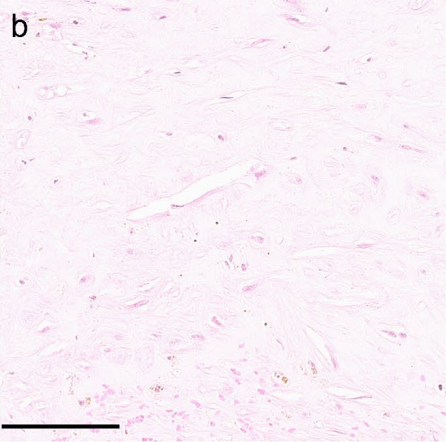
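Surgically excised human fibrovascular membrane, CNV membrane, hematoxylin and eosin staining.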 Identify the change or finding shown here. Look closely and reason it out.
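Pale pink fibrous matrix fills most of the field. Few, widely spaced nuclei.
Answer: a fibrotic area with low cell density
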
